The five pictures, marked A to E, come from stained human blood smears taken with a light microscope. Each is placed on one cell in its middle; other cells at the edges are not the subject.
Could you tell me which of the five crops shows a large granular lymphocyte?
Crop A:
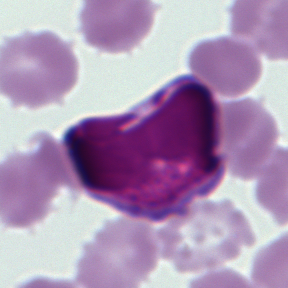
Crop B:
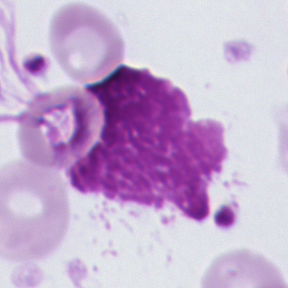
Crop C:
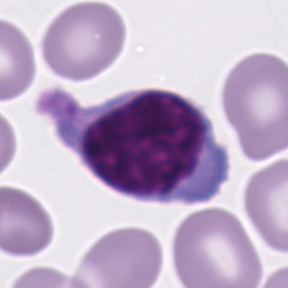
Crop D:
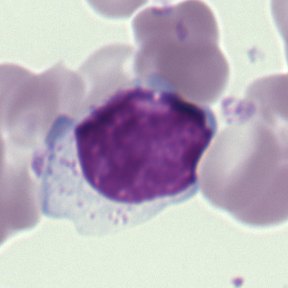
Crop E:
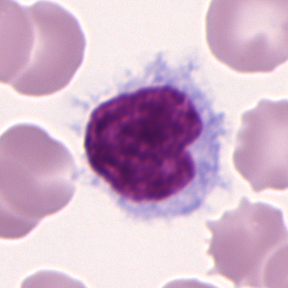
D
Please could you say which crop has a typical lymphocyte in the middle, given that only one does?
C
